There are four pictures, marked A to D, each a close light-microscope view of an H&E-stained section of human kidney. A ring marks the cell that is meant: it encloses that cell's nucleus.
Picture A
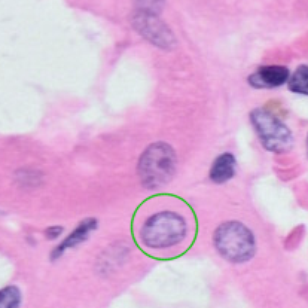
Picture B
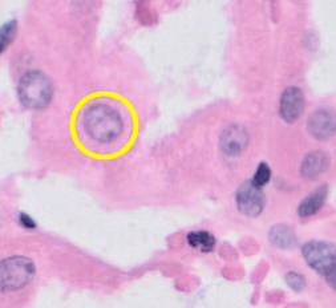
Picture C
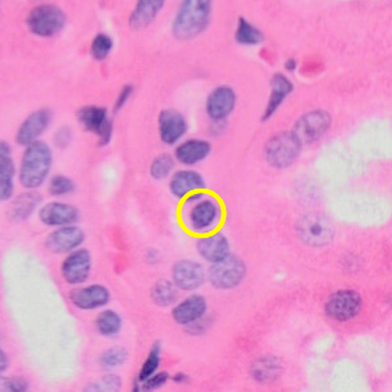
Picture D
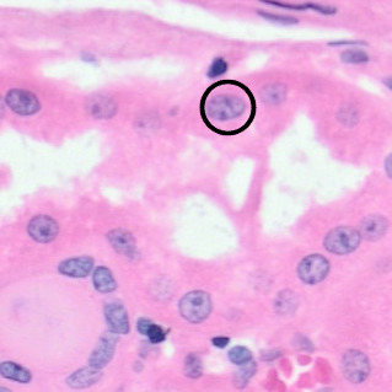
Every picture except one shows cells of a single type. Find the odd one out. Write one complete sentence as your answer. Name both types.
Picture C is the odd one out: it shows a collecting duct cell, while the others show proximal tubule cells.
